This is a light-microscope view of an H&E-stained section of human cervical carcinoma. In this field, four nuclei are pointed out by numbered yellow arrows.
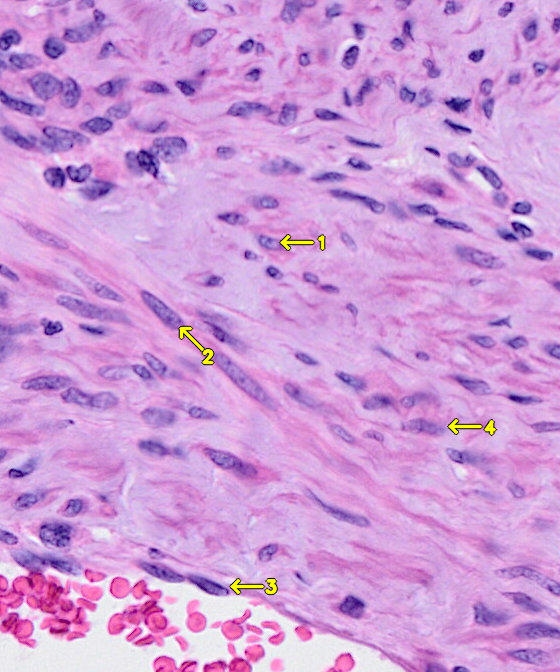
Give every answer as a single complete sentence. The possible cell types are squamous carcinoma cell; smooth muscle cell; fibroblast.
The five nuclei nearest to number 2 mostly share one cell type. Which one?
Of the five nuclei nearest to number 2, most belong to smooth muscle cells.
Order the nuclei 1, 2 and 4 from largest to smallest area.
Largest first, the order by area is 2, 4, 1.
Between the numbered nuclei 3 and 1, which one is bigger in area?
Number 3 is larger; its area is about 2 times that of number 1.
